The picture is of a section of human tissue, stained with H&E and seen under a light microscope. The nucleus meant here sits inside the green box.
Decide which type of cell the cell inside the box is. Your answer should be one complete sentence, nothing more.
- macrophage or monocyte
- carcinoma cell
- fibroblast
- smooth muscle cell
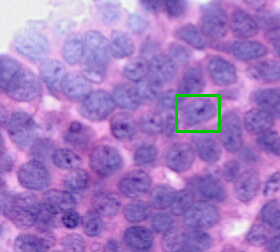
Right, so the cell inside the box is a carcinoma cell, to answer that.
